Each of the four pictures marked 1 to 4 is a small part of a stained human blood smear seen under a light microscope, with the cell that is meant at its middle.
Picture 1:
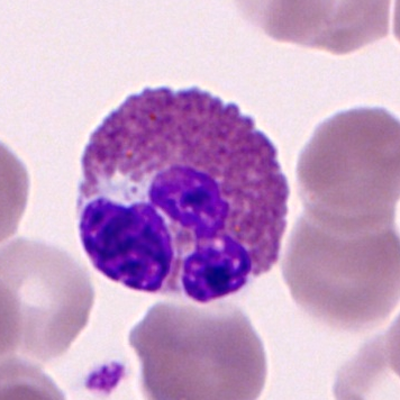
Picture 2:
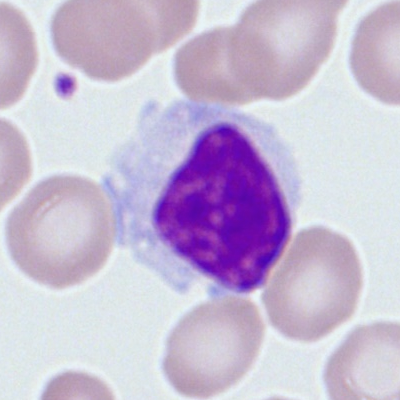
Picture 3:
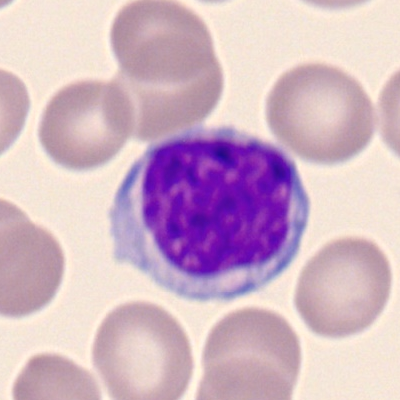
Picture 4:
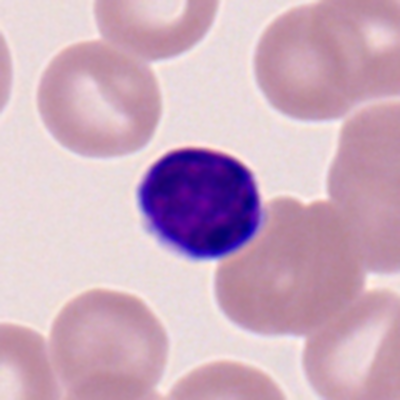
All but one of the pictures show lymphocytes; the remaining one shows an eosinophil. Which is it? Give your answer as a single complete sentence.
The cell in picture 1 is the eosinophil.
